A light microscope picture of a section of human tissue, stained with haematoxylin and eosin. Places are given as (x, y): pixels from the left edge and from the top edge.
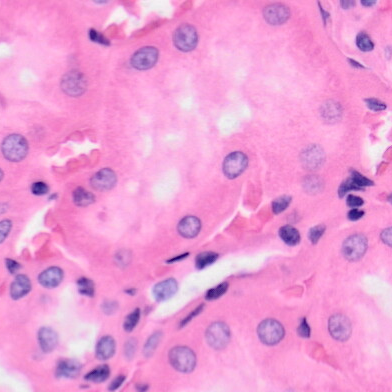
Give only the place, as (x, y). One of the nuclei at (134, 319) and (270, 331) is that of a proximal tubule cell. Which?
(270, 331)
